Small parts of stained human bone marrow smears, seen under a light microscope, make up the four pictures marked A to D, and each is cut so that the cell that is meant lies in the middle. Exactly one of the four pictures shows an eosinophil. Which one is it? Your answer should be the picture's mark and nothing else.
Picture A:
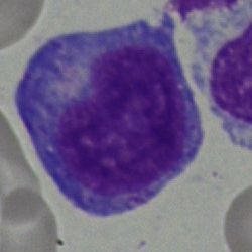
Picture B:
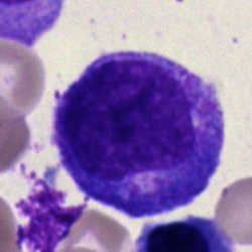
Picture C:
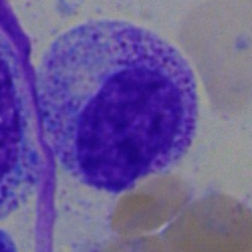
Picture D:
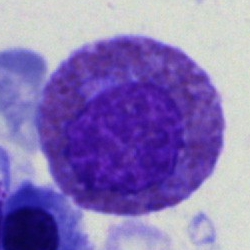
D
